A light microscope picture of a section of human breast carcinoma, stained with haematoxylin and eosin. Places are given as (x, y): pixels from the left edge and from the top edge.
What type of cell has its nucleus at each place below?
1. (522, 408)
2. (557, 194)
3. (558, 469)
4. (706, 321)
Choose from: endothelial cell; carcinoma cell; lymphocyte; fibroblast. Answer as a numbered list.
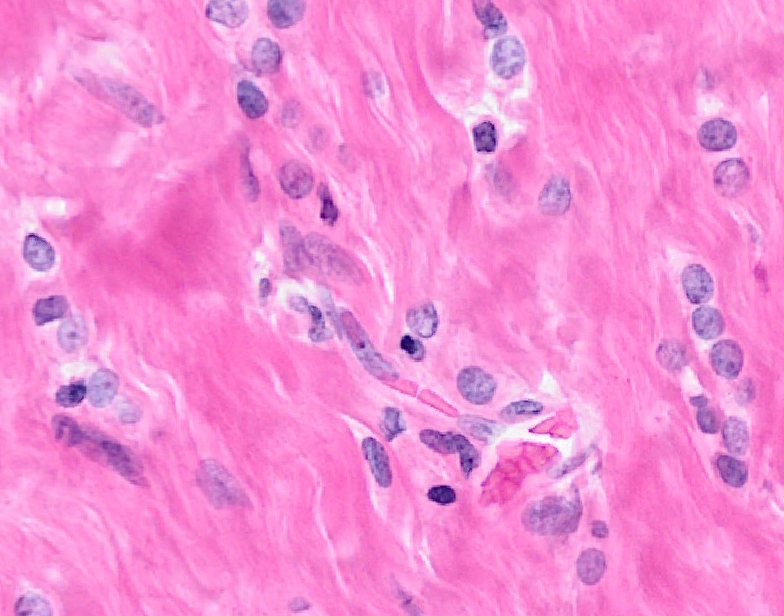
1. endothelial cell
2. fibroblast
3. endothelial cell
4. carcinoma cell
